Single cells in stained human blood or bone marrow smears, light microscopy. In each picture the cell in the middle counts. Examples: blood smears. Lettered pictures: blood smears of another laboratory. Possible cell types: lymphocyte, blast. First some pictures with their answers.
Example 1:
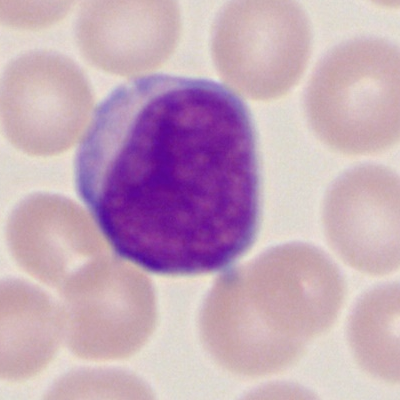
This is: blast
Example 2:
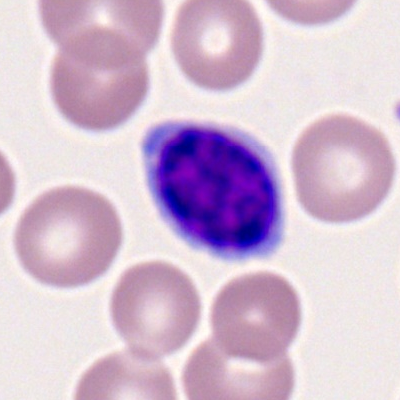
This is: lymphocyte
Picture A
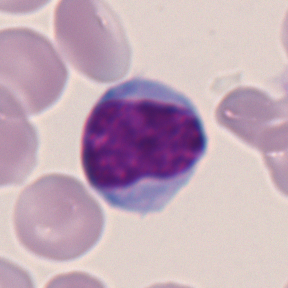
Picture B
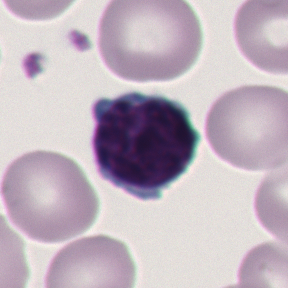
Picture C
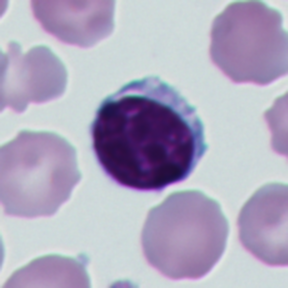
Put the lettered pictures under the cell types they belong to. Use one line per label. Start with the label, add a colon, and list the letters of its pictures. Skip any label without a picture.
lymphocyte: A, B, C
